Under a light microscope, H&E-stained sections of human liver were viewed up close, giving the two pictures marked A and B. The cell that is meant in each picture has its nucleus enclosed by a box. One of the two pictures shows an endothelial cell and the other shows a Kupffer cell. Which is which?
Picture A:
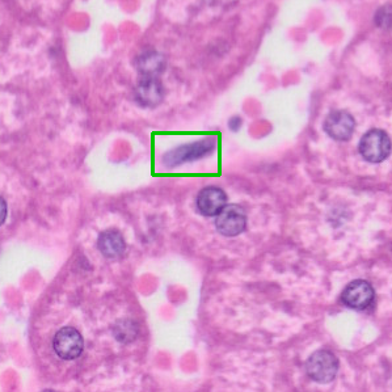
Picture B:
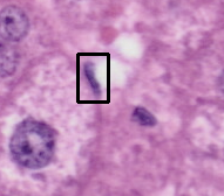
A: Kupffer cell
B: endothelial cell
